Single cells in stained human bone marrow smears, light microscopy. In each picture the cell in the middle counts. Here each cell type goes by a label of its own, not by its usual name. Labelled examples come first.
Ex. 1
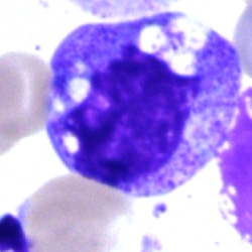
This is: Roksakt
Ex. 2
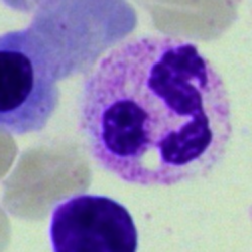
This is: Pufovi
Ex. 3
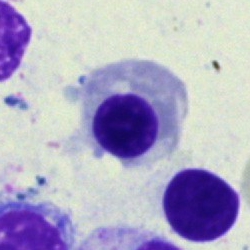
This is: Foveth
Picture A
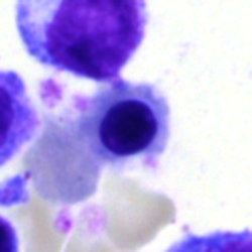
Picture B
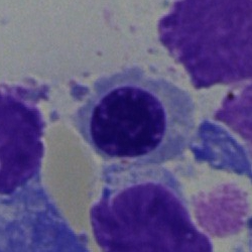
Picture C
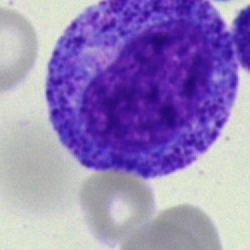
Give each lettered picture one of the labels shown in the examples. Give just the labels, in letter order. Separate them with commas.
Foveth, Foveth, Roksakt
